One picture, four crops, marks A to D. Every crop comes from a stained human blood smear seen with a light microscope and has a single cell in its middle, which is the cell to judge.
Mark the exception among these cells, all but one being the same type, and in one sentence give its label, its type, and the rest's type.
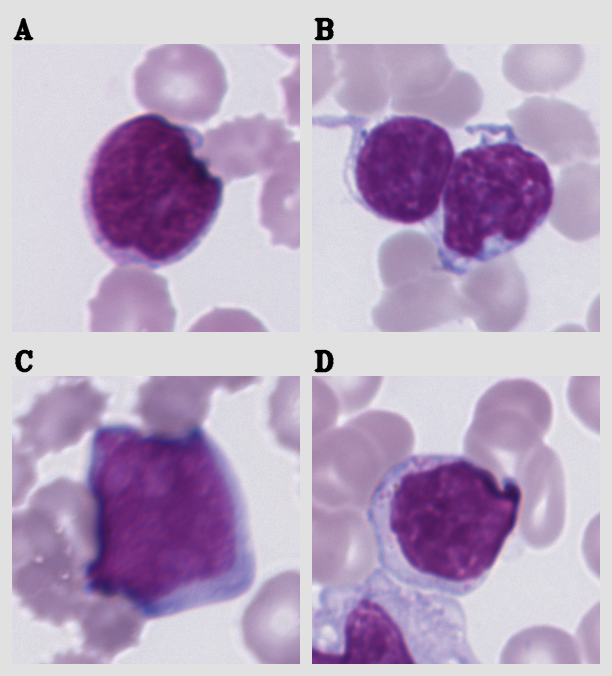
Although the other crops all show blasts, crop D shows a large granular lymphocyte.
